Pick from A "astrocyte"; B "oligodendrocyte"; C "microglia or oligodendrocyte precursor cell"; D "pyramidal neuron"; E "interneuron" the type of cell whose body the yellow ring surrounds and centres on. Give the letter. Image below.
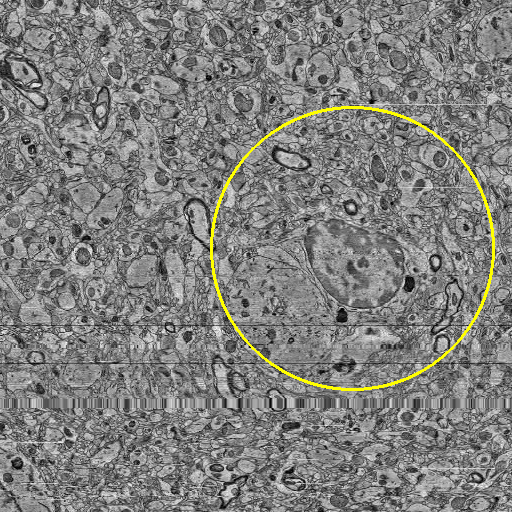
C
